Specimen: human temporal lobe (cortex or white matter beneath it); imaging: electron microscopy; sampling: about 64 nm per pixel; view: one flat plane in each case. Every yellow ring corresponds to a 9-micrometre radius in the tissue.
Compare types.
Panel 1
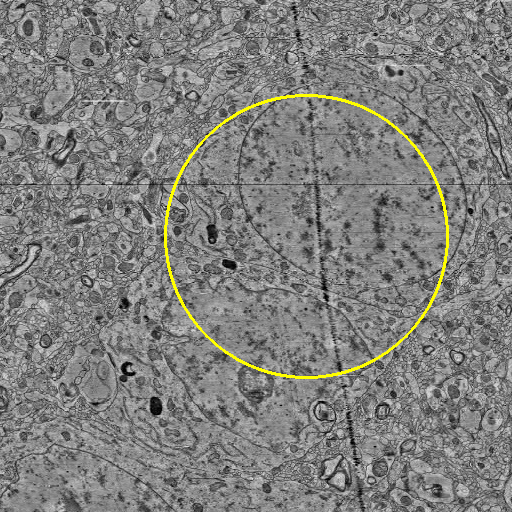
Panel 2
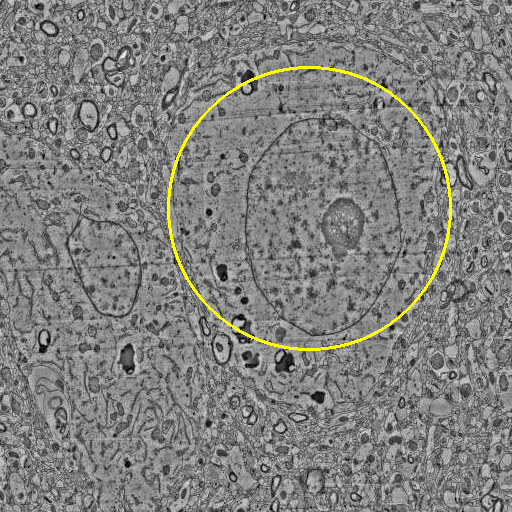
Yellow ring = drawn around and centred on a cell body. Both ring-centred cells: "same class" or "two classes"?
same class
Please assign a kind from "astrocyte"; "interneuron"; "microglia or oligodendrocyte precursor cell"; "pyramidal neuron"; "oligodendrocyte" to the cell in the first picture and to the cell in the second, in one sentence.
Each of the ringed cells, first and second, is a pyramidal neuron.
